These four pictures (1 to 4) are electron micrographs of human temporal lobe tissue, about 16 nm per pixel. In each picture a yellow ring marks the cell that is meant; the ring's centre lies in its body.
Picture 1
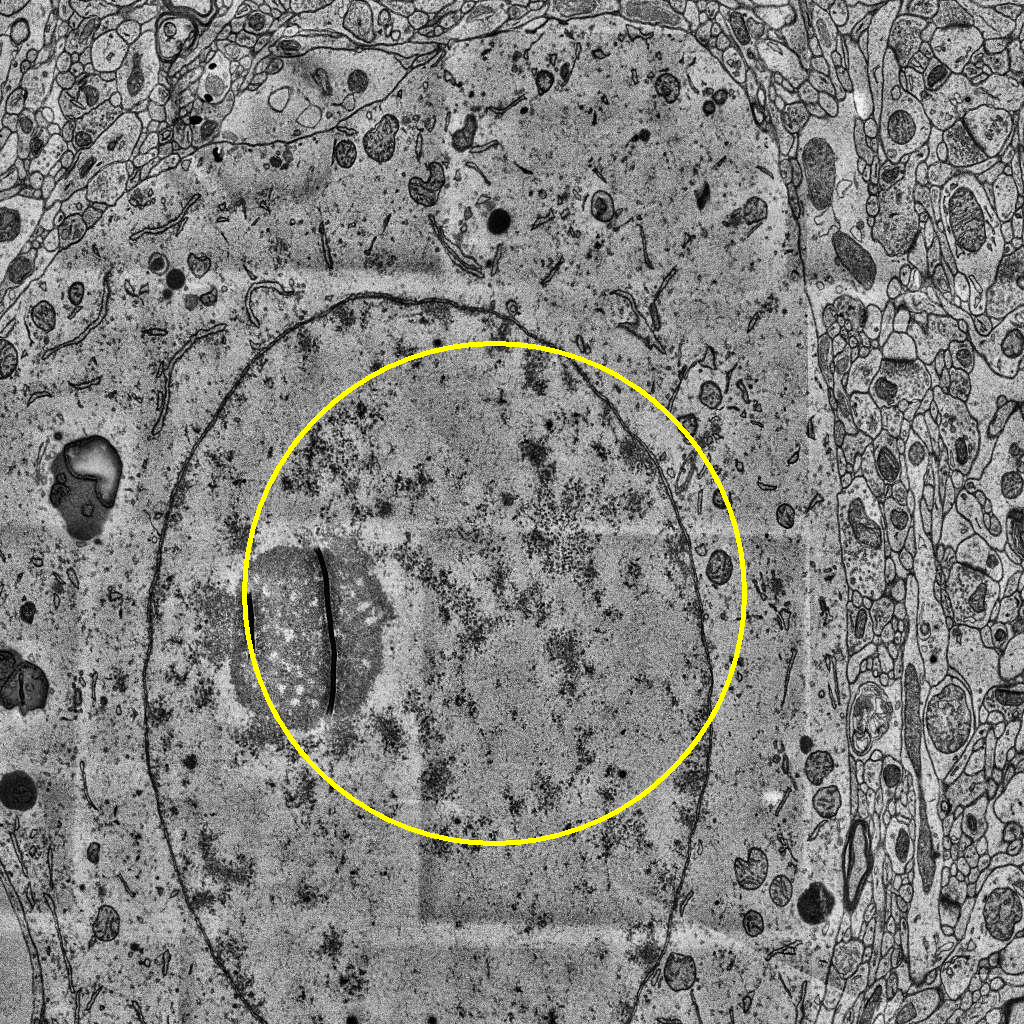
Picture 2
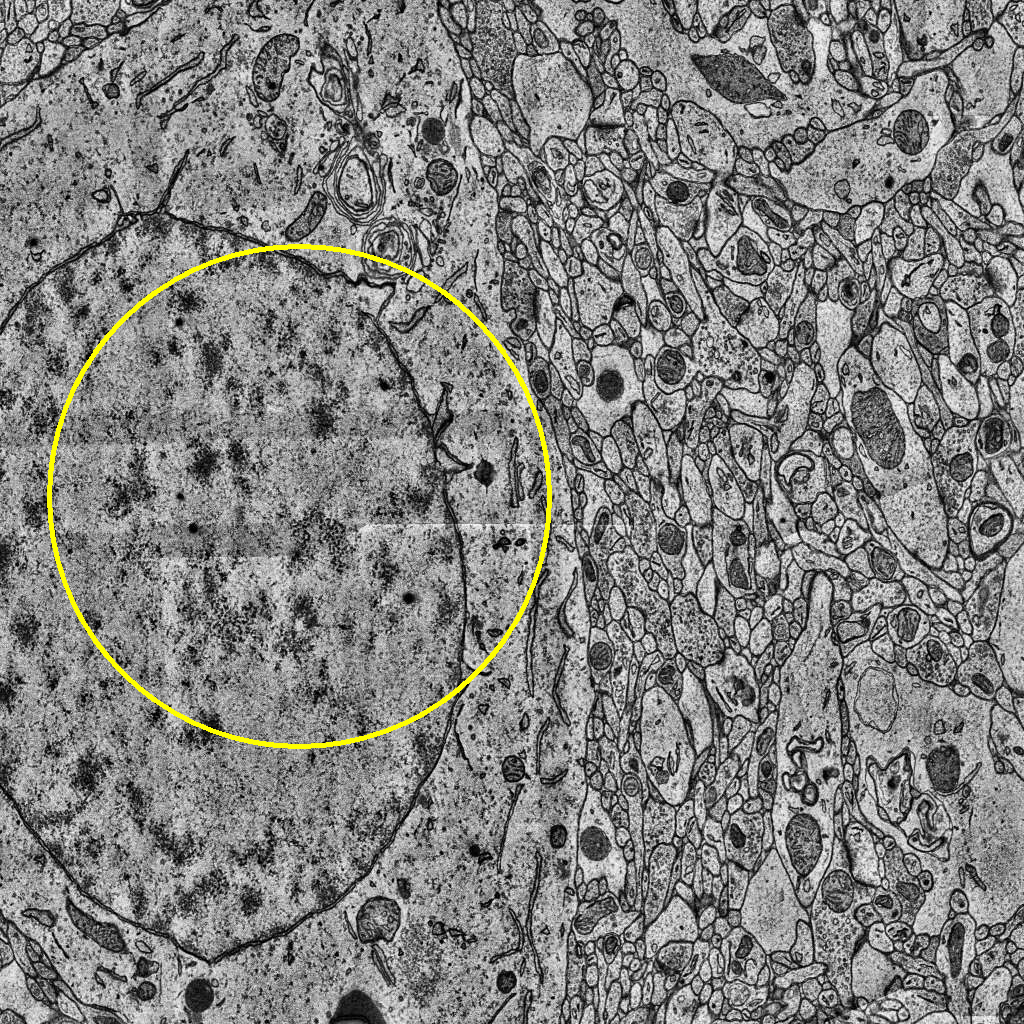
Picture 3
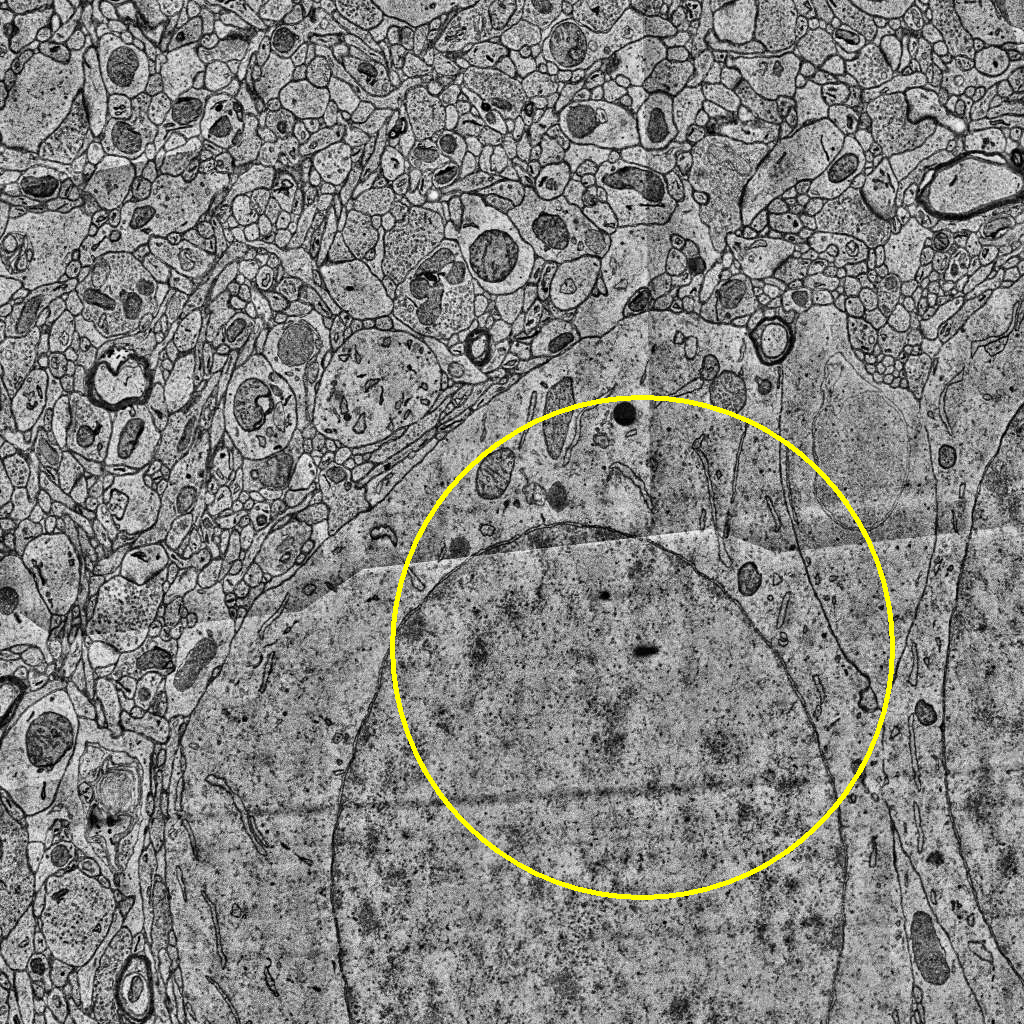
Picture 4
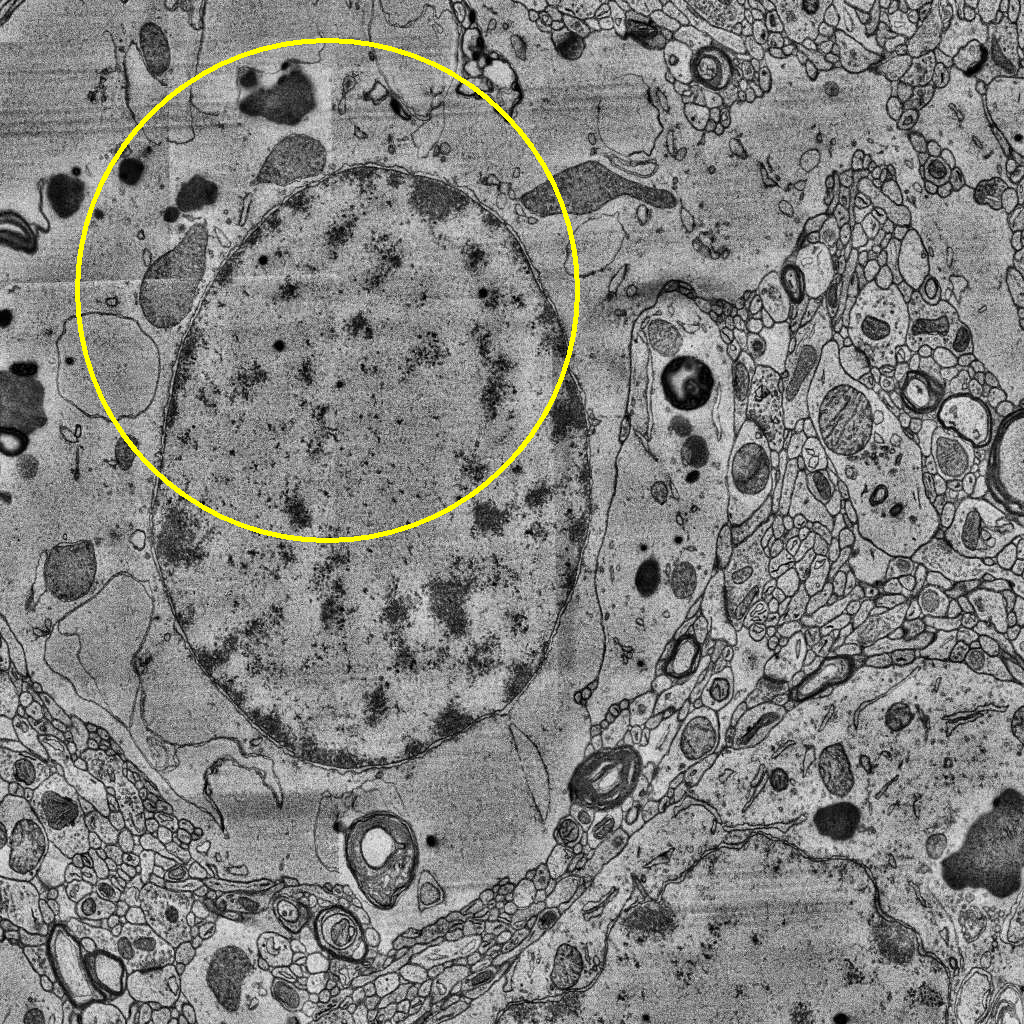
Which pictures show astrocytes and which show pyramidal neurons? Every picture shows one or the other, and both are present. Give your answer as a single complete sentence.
Picture 4 shows an astrocyte; pictures 1, 2 and 3 show pyramidal neurons.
